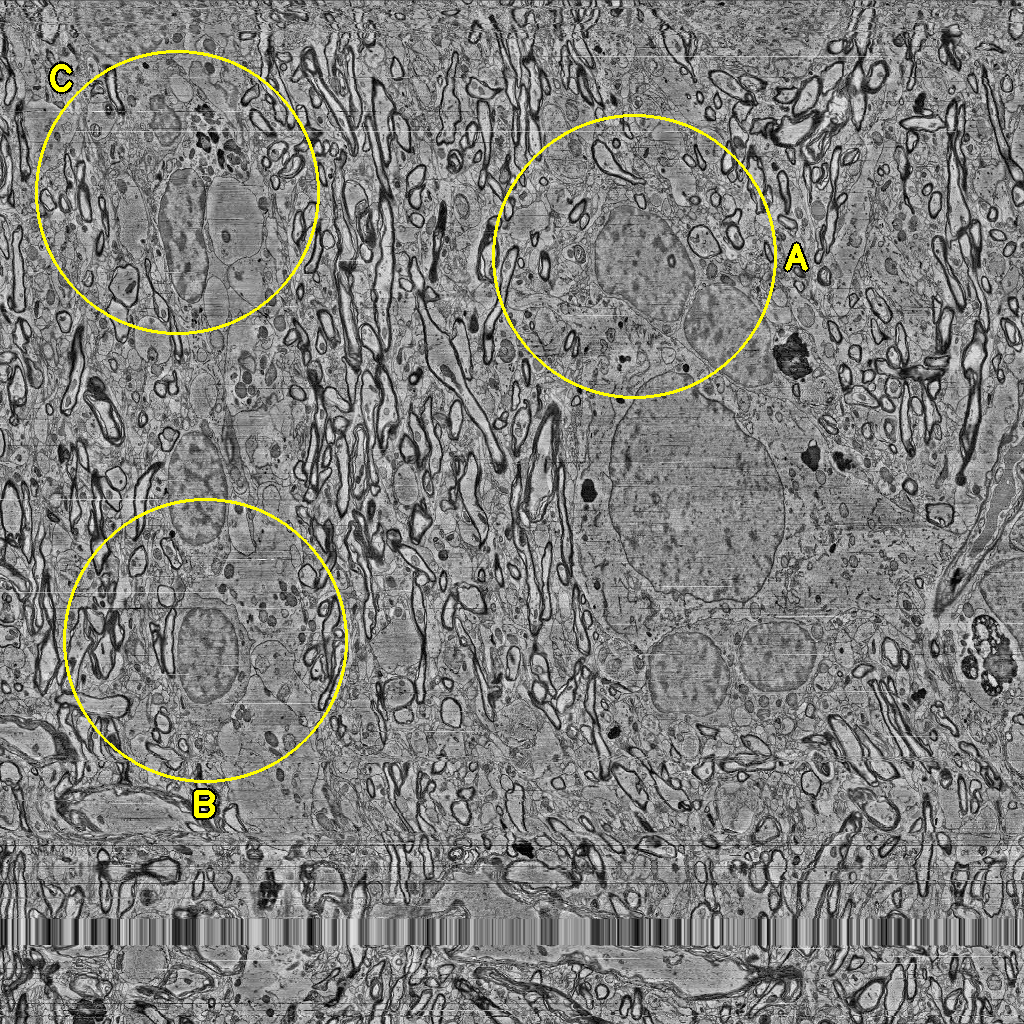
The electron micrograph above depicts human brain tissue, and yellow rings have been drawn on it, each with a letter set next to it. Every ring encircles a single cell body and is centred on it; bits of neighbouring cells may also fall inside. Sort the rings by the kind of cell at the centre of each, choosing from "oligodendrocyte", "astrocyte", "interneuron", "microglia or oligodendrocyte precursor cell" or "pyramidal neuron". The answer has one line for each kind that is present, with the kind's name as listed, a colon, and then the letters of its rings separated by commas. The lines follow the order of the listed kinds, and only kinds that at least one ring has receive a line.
oligodendrocyte: A, B
microglia or oligodendrocyte precursor cell: C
